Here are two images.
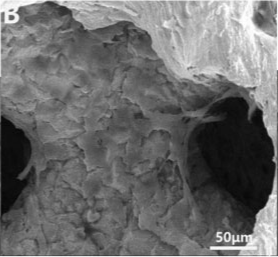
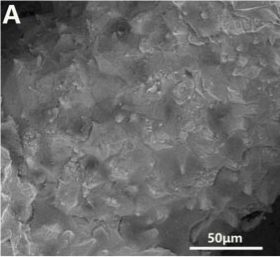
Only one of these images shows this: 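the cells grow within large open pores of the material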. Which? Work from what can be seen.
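Second image: a continuous surface covered by flattened cells, with no large openings. First image: large dark openings with cells spreading over their rims. So: the first image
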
